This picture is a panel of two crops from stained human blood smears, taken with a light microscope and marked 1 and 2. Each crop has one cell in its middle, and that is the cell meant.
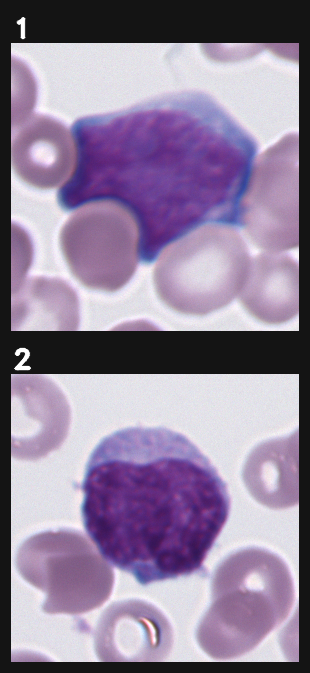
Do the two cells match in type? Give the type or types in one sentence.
No, crop 1 shows a myeloblast and crop 2 an atypical promyelocyte.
